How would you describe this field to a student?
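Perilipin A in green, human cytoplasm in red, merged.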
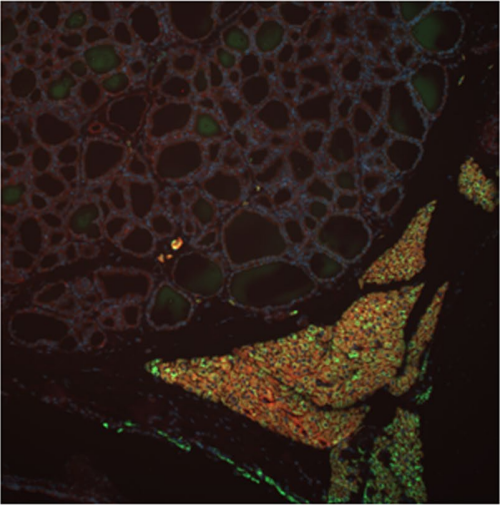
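A compact wedge of small, densely packed parenchymal cells in the lower part of the field shows mixed green and red staining that appears yellow-orange over most of its area. A small yellow-orange spot sits among these compartments left of centre.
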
